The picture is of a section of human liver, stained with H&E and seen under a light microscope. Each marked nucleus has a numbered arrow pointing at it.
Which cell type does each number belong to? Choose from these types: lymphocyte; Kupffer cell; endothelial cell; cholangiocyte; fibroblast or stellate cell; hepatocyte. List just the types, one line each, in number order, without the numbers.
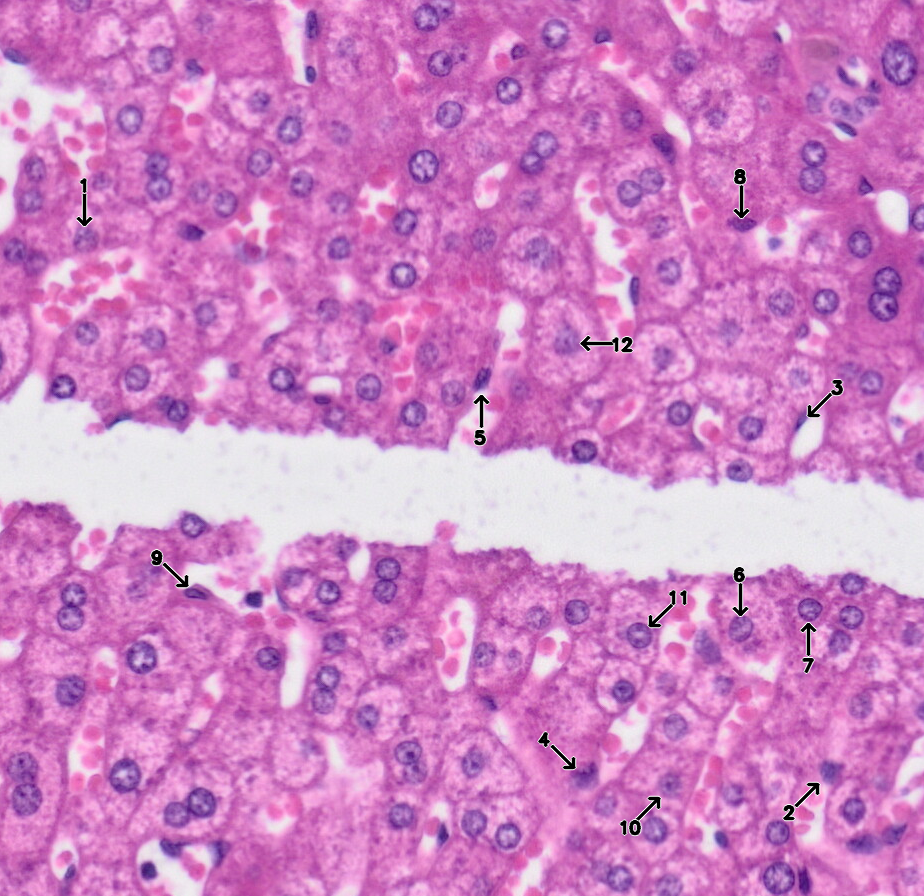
hepatocyte
endothelial cell
endothelial cell
endothelial cell
fibroblast or stellate cell
hepatocyte
hepatocyte
fibroblast or stellate cell
Kupffer cell
hepatocyte
hepatocyte
hepatocyte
